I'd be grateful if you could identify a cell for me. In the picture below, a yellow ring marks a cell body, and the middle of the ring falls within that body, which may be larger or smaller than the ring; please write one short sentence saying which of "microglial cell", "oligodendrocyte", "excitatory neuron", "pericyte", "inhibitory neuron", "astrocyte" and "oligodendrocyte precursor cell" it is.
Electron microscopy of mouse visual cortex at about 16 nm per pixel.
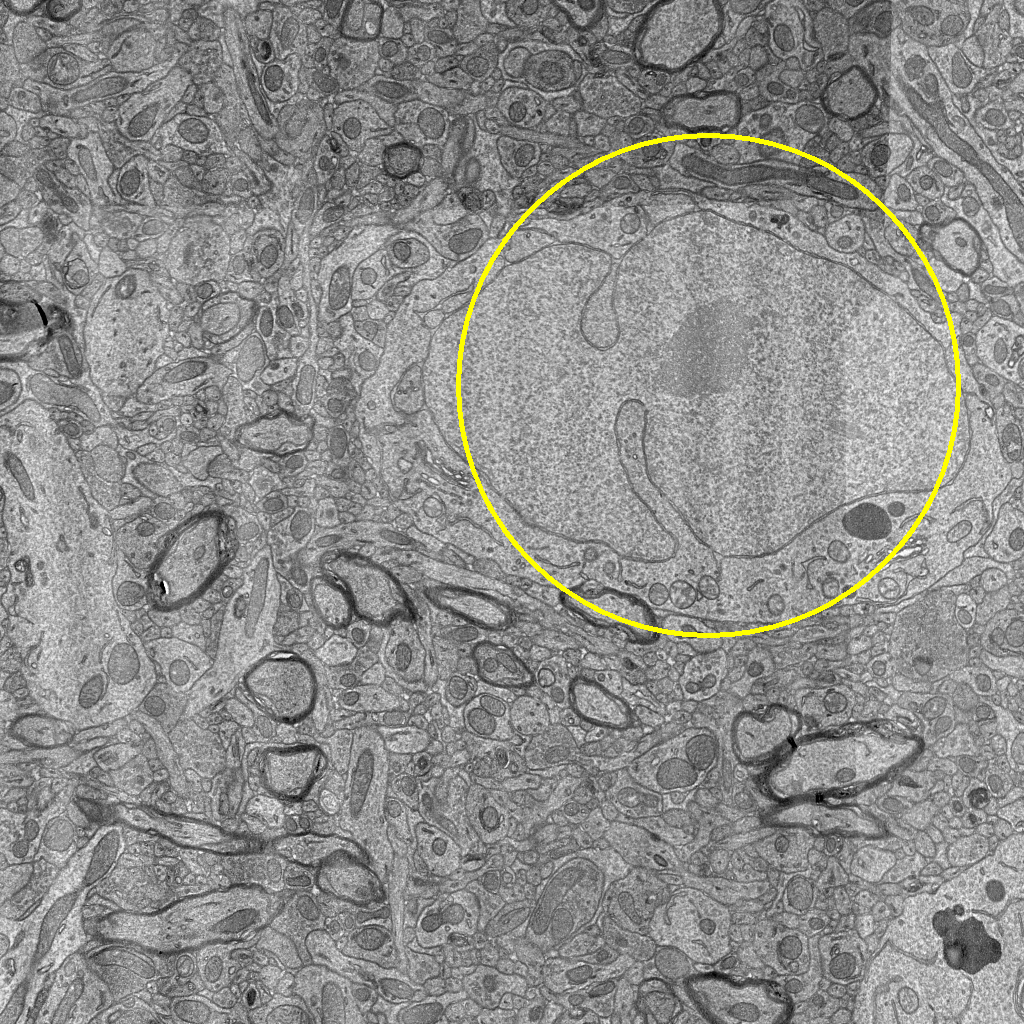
The cell under the ring's centre is an inhibitory neuron.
